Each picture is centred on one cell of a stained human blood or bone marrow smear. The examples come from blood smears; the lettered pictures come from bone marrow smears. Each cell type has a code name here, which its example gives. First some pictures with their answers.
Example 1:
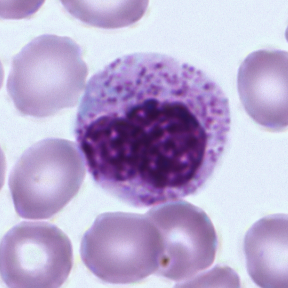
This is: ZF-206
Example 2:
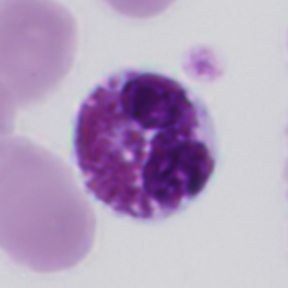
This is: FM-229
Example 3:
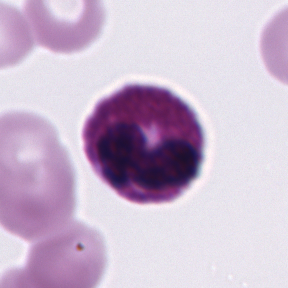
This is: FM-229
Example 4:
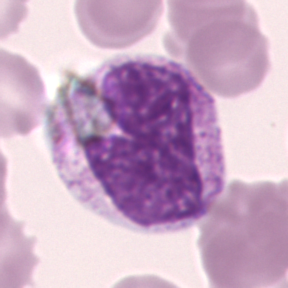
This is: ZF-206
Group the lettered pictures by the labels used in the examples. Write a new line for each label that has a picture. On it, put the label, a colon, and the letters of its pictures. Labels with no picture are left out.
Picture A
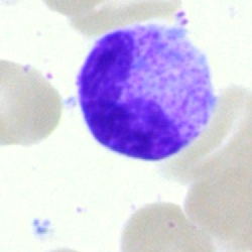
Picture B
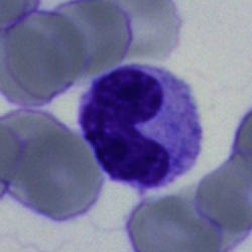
ZF-206: A, B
